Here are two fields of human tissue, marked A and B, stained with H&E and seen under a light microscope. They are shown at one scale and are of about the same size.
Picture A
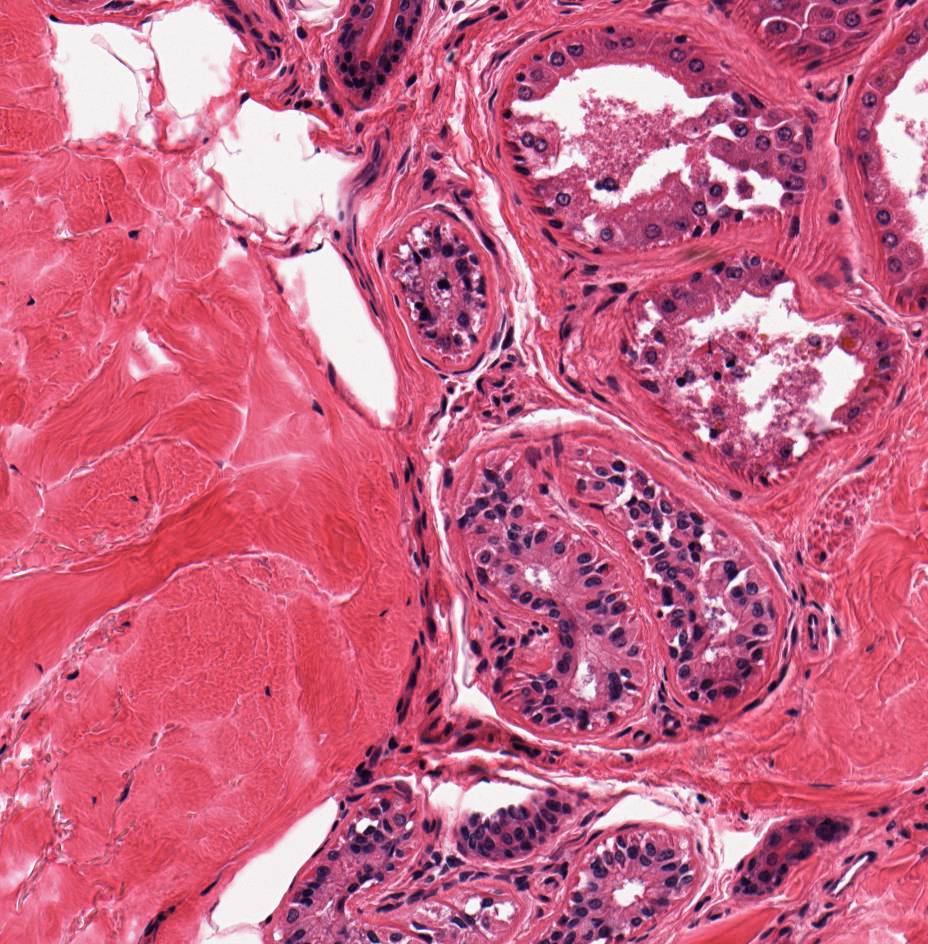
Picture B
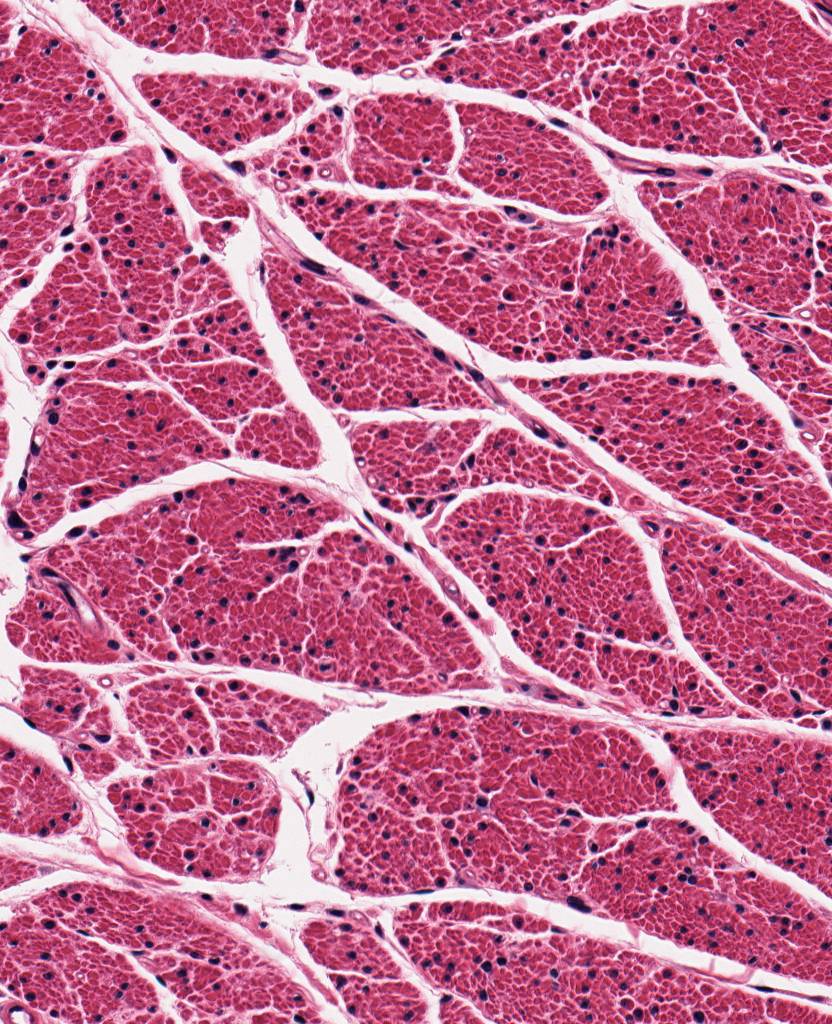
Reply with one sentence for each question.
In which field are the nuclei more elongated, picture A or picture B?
The nuclei are more elongated in picture A.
